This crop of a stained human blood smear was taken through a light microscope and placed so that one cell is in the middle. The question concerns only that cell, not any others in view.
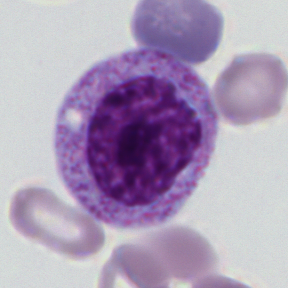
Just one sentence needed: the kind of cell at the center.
Answering briefly, the cell in the middle is a myelocyte.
